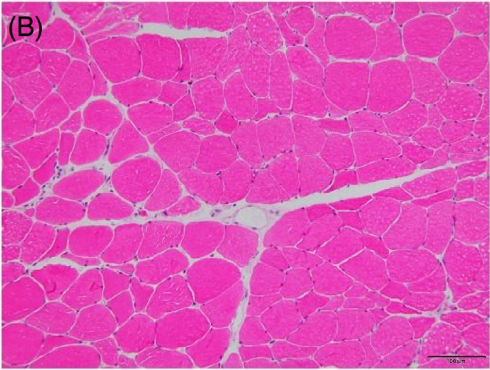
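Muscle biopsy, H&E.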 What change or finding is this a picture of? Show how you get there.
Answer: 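Mild neurogenic atrophy. Scattered small, angular muscle fibers lie among larger polygonal fibers. Fiber size varies within fascicles. Nuclei are mostly at the fiber periphery.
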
